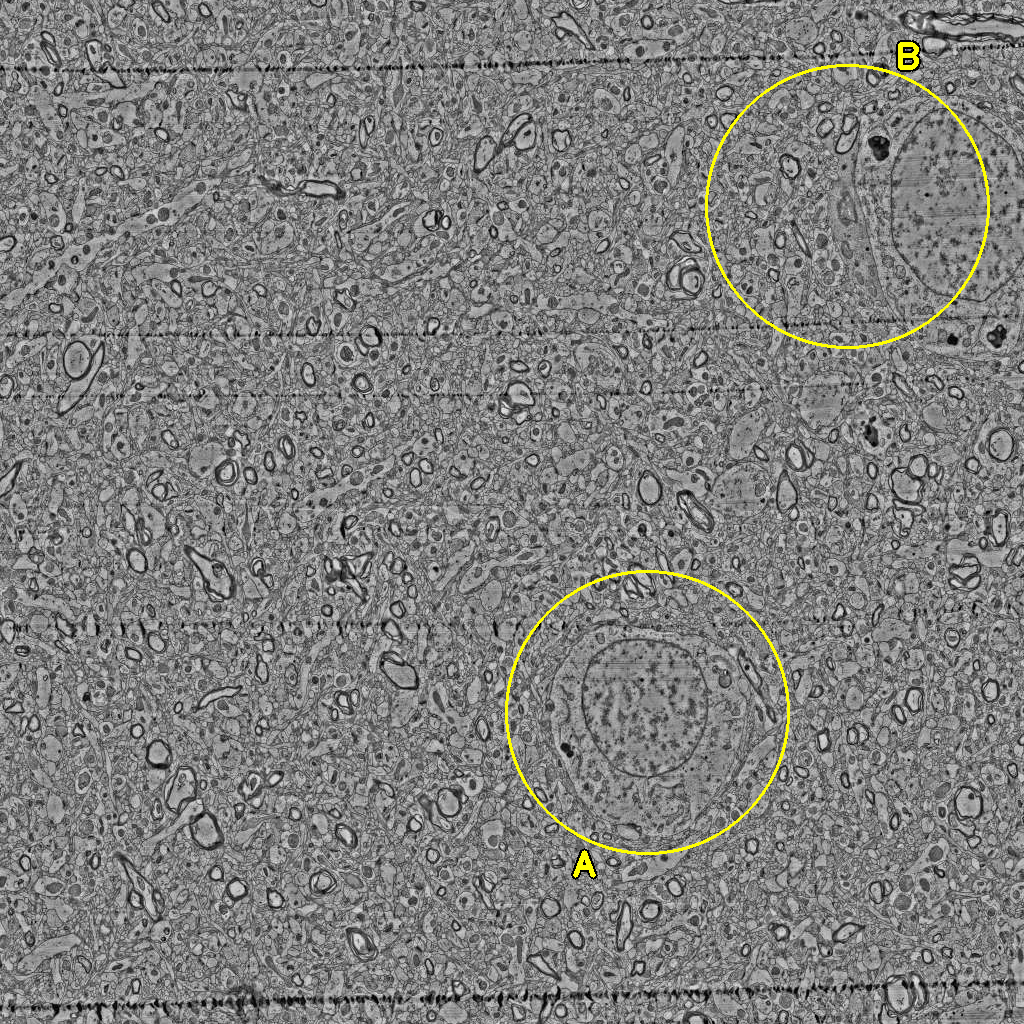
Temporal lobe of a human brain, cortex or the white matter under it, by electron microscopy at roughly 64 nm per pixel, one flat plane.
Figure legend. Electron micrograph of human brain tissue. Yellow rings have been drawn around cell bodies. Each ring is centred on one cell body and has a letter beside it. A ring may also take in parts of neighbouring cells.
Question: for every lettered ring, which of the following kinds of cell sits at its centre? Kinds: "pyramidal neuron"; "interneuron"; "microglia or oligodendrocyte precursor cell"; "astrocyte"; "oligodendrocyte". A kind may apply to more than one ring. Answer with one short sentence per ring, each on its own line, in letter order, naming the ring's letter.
Ring A is centred on a pyramidal neuron.
Ring B is centred on an oligodendrocyte.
